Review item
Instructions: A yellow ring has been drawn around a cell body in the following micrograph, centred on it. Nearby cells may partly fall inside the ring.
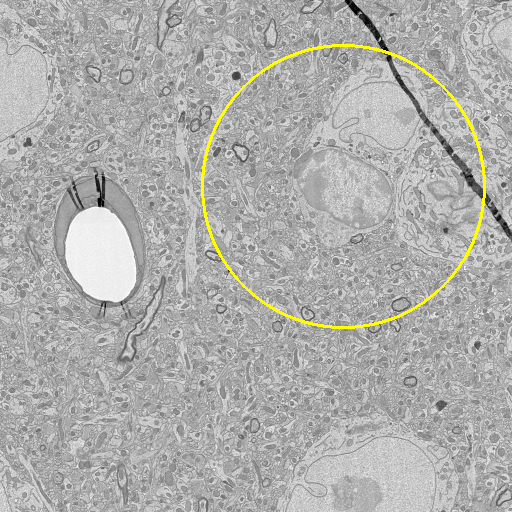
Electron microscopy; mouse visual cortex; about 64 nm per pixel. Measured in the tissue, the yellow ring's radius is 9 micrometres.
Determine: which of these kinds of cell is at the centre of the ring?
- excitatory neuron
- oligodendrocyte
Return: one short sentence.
The cell body in the middle of the ring is that of an oligodendrocyte.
